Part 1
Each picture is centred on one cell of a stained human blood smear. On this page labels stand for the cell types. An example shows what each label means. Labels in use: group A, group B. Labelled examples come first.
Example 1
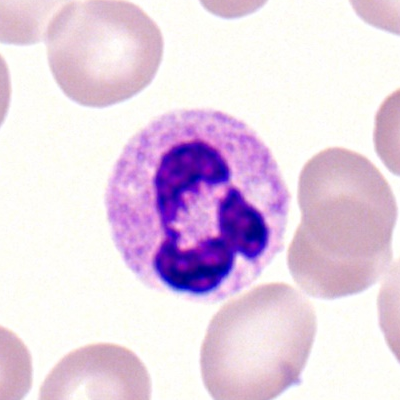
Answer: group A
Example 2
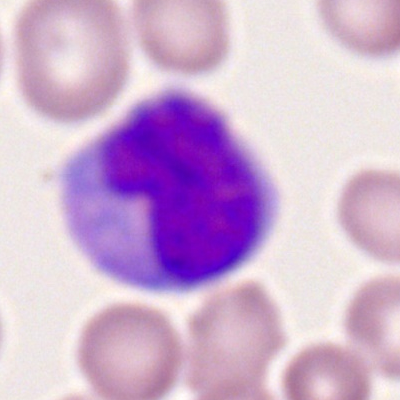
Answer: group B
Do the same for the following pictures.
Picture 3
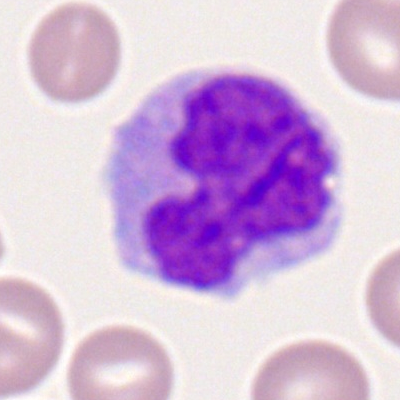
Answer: group B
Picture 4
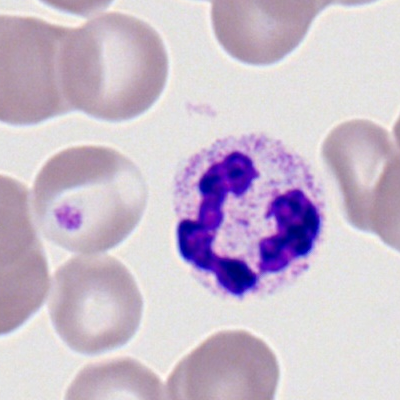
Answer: group A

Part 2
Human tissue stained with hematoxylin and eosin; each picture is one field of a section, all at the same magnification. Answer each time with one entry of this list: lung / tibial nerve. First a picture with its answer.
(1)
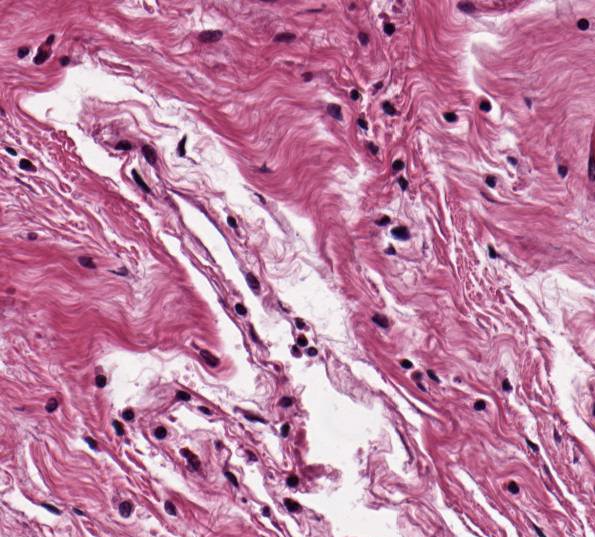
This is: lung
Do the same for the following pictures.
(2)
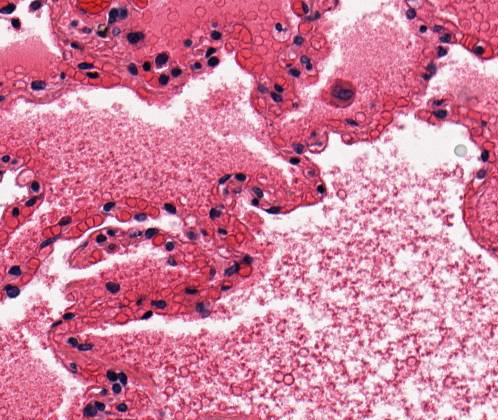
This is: lung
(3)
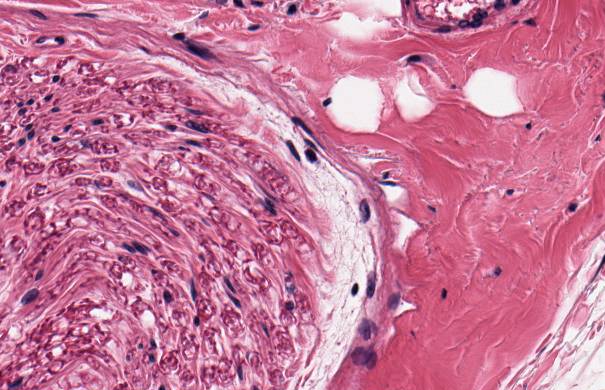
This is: tibial nerve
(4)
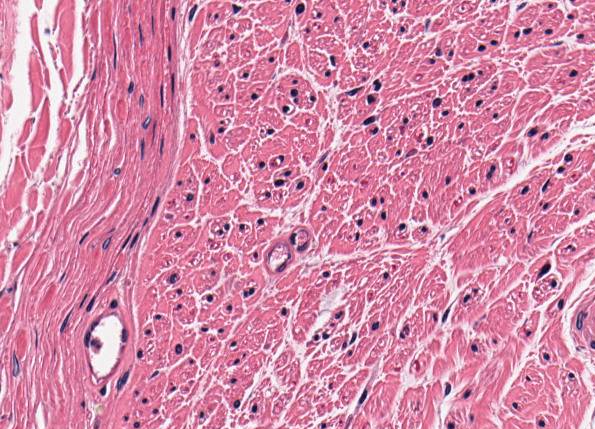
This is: tibial nerve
